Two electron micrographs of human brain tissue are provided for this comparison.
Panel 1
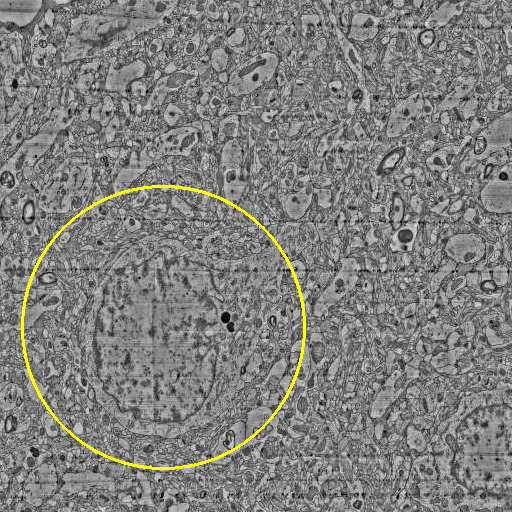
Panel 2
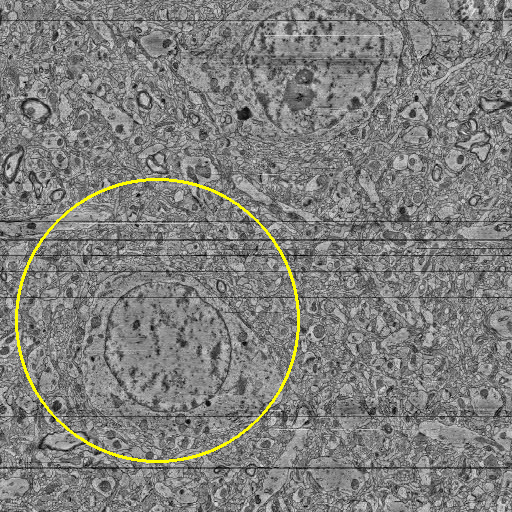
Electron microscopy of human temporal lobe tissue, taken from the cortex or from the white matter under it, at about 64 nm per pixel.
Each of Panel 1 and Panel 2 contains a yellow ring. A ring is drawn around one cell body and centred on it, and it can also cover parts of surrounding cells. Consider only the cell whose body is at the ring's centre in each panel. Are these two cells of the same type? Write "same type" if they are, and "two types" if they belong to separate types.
two types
